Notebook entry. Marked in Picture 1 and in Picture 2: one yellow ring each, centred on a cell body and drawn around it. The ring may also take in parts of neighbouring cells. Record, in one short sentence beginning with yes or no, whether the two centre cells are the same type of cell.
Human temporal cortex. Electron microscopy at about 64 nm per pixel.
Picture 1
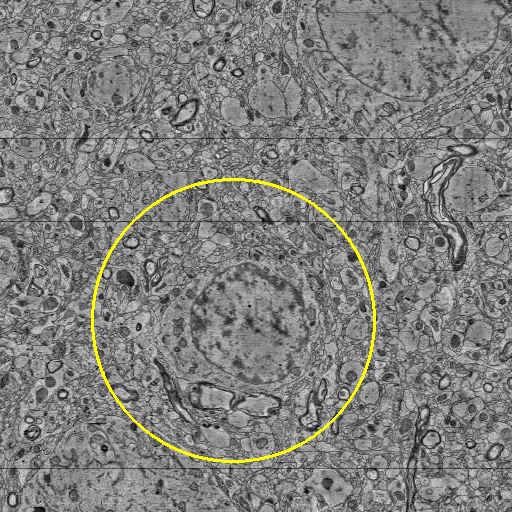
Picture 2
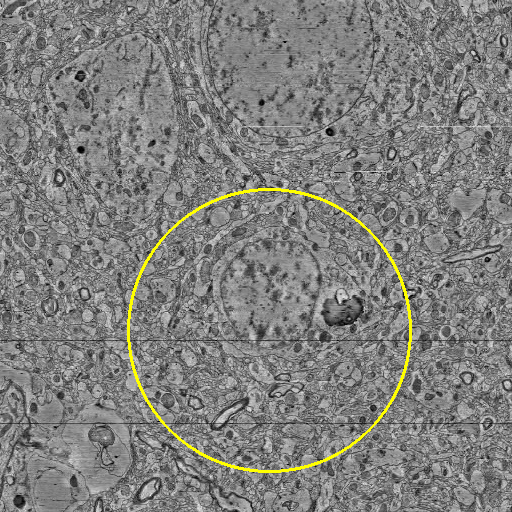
Yes, both are the same type of cell.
